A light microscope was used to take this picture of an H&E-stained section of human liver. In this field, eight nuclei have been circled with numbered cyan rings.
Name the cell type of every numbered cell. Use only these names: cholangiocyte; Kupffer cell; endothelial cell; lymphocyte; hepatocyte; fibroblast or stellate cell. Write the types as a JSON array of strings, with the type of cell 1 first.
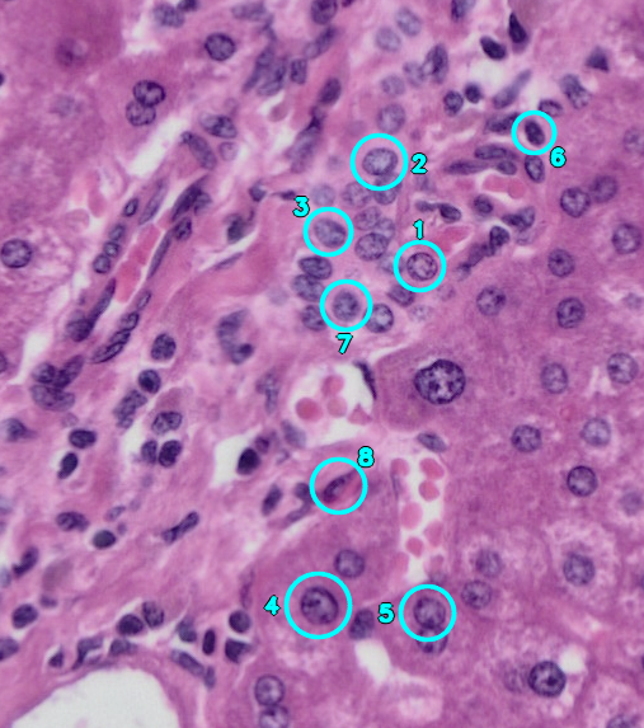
["cholangiocyte", "cholangiocyte", "cholangiocyte", "hepatocyte", "hepatocyte", "lymphocyte", "cholangiocyte", "fibroblast or stellate cell"]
